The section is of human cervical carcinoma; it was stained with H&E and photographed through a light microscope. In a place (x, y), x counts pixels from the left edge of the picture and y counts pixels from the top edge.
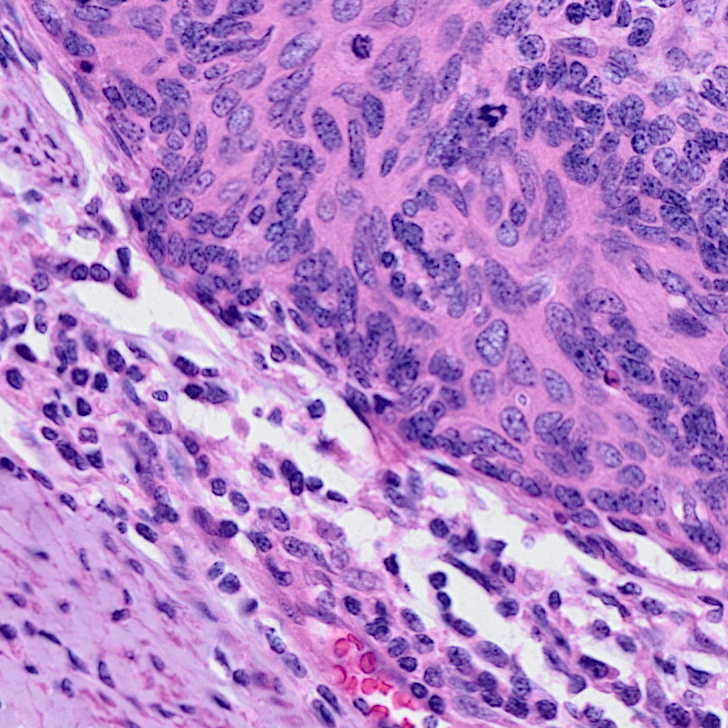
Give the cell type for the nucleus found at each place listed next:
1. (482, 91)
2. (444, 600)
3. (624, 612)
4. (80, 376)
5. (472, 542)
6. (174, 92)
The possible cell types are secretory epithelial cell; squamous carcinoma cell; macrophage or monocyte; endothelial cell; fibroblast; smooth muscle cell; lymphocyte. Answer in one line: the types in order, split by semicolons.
squamous carcinoma cell; lymphocyte; lymphocyte; lymphocyte; lymphocyte; squamous carcinoma cell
